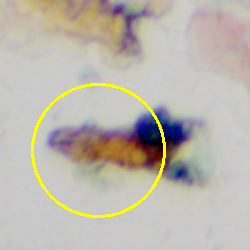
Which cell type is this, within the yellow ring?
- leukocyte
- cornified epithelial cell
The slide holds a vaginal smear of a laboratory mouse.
Within the ring is a cornified epithelial cell.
